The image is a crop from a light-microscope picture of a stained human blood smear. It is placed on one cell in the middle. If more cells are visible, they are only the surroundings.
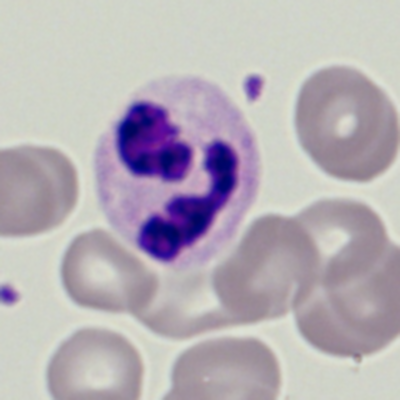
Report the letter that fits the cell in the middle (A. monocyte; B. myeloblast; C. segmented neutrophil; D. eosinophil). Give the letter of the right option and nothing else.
C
